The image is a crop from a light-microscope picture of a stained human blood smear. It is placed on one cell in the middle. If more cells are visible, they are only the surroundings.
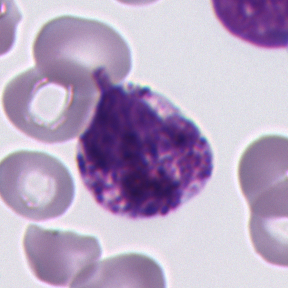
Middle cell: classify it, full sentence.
The middle of this crop is occupied by a basophil.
